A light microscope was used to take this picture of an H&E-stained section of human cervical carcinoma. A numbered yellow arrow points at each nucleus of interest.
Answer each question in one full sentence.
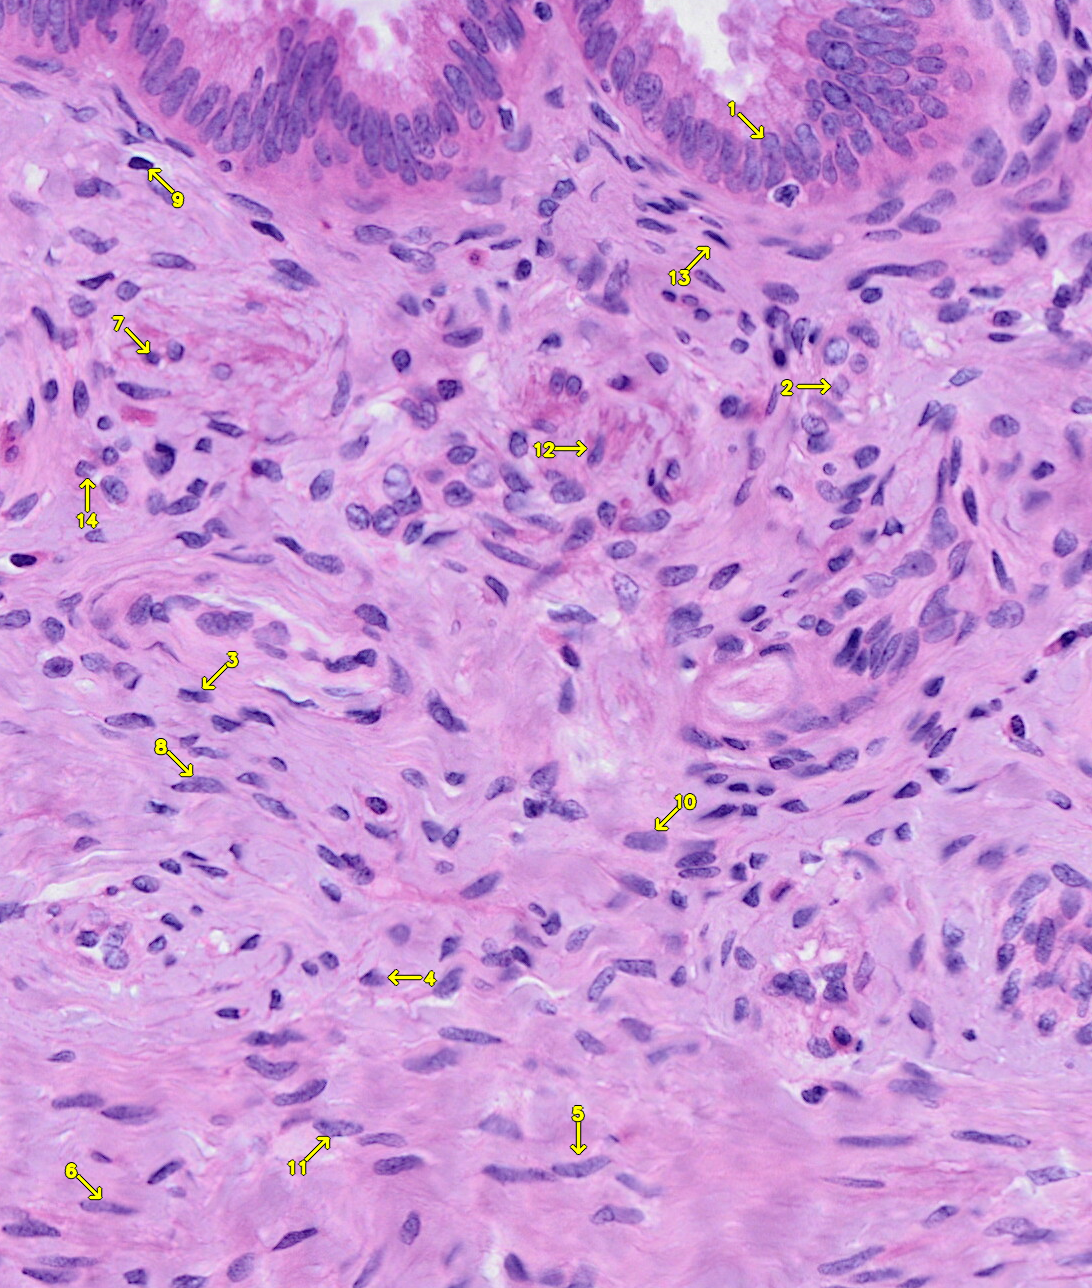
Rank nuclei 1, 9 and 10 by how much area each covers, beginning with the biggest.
From largest to smallest, the order is 10, 1, 9.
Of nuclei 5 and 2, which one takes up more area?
Number 5 is larger; its area is about 3 times that of number 2.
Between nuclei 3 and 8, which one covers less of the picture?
With nucleus 8 about 2 times its size, nucleus 3 is the smaller of the two.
